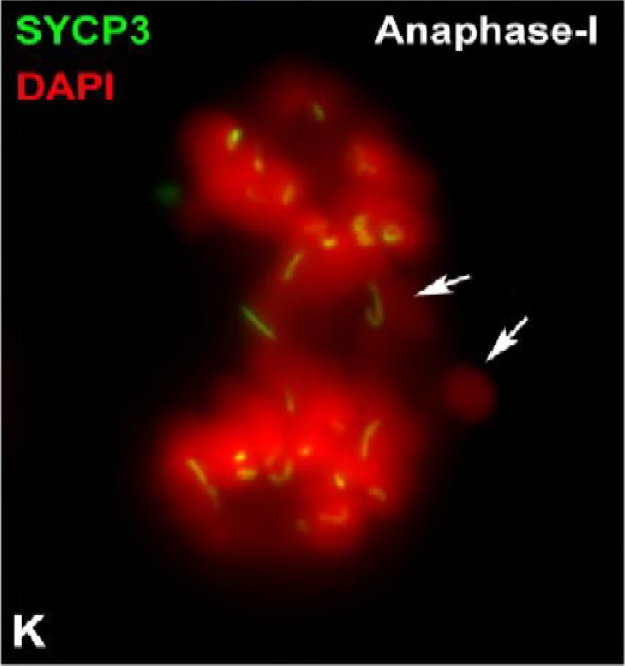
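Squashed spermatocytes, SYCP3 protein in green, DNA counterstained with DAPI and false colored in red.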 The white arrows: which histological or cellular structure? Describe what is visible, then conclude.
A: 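Chromosomal fragments and connections. Two red chromosome masses lie at opposite poles. Small red material and a green fragment lie between them where the arrows point.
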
